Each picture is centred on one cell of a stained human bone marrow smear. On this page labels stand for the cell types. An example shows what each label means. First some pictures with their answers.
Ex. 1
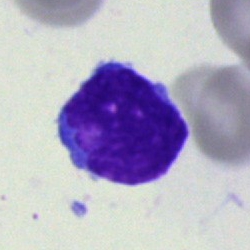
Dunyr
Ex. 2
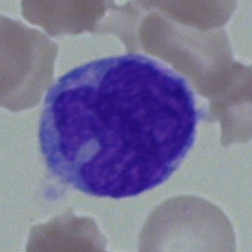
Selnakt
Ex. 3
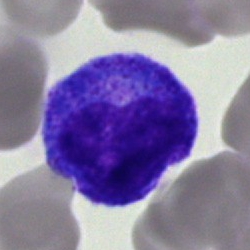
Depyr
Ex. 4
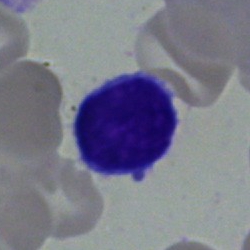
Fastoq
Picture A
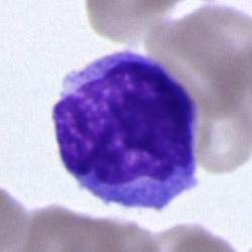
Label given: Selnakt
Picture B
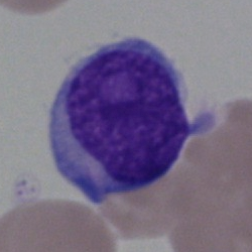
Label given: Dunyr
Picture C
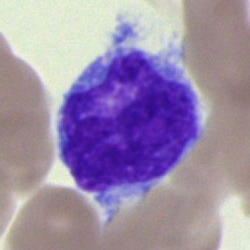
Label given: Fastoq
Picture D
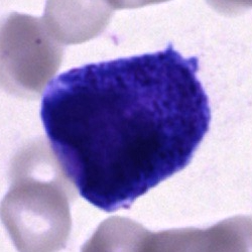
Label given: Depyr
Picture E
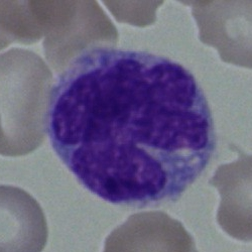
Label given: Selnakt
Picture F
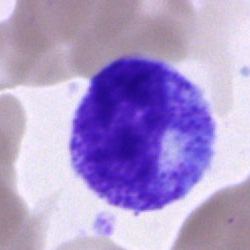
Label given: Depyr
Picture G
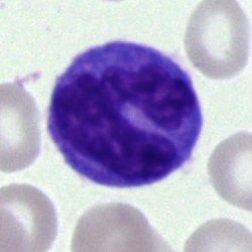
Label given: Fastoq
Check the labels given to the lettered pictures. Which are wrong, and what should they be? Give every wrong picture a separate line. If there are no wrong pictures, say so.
C should be Selnakt, not Fastoq
G should be Selnakt, not Fastoq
